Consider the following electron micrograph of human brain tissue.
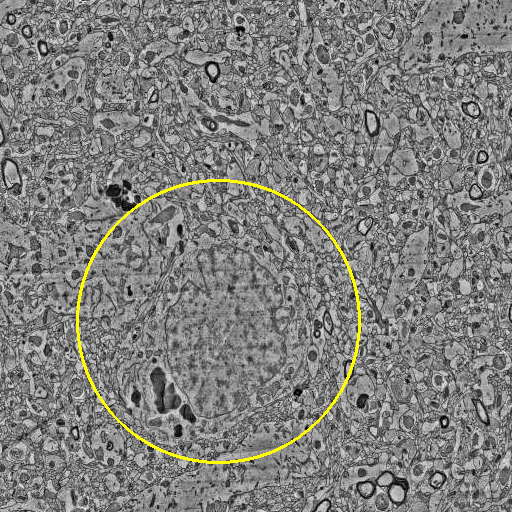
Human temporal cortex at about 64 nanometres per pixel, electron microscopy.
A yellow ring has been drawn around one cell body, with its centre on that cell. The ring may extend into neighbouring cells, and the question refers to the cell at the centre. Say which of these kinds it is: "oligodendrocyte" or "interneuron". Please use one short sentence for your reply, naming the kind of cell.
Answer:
The centre of the ring falls on an interneuron.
